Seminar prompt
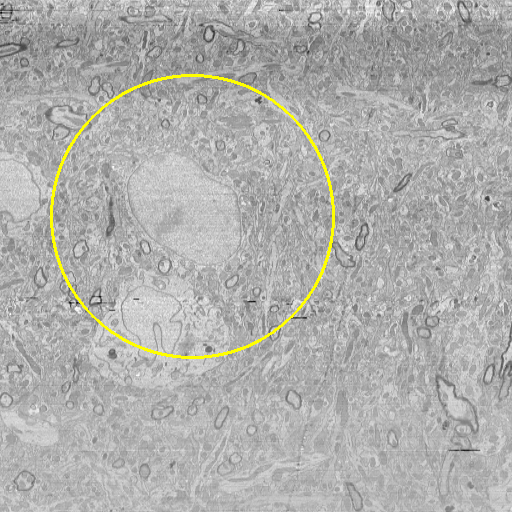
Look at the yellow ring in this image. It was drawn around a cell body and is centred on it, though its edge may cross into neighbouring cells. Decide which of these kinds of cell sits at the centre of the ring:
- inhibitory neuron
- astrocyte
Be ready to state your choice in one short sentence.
The kind of cell at the ring's centre is an astrocyte.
